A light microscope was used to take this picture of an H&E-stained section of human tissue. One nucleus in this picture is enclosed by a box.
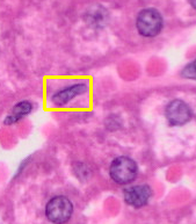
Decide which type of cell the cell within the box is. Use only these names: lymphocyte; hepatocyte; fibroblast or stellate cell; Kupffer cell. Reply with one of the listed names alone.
fibroblast or stellate cell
